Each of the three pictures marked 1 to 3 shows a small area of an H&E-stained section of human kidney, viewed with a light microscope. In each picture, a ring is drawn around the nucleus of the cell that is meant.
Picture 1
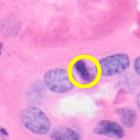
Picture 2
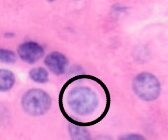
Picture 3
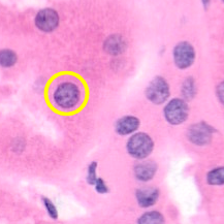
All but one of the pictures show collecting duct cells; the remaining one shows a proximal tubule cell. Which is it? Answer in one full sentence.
The picture with the proximal tubule cell is 3.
